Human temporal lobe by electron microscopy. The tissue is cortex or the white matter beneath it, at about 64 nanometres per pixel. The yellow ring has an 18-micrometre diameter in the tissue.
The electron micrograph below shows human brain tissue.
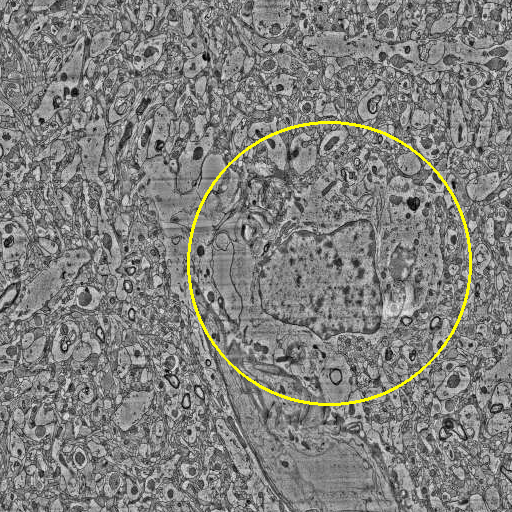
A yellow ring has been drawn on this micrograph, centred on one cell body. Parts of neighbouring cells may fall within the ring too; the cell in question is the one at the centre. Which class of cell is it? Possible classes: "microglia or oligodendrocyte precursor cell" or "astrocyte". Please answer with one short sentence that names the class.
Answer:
In the centre of the ring sits a microglial cell or oligodendrocyte precursor cell.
